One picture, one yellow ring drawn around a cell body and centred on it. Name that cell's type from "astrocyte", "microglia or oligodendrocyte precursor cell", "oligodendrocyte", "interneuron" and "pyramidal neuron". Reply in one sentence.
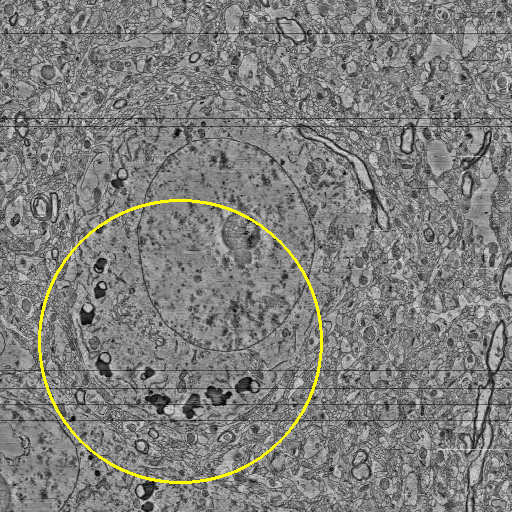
Centred in the ring is a pyramidal neuron.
